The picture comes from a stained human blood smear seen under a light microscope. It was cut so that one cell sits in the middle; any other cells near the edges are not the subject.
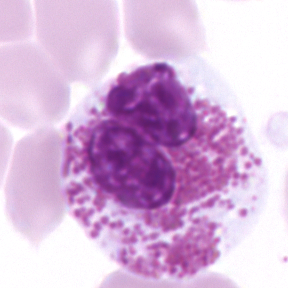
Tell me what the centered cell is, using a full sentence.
In the middle of this smear crop is an eosinophil.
